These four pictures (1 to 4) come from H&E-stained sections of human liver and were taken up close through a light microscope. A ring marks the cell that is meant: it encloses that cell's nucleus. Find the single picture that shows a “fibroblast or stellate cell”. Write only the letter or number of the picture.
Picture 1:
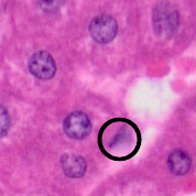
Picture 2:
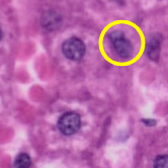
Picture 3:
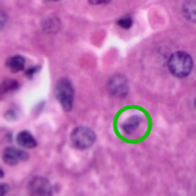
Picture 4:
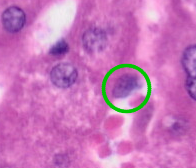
2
